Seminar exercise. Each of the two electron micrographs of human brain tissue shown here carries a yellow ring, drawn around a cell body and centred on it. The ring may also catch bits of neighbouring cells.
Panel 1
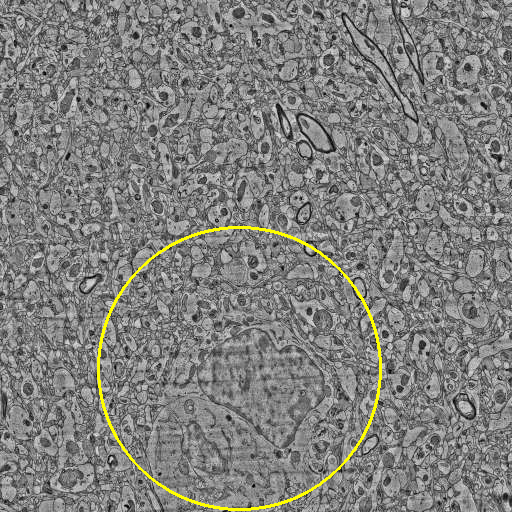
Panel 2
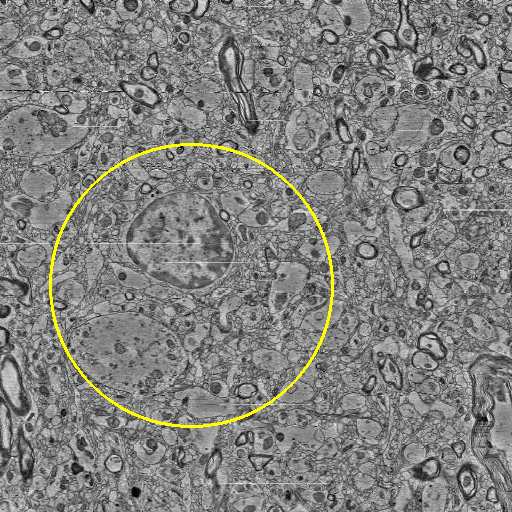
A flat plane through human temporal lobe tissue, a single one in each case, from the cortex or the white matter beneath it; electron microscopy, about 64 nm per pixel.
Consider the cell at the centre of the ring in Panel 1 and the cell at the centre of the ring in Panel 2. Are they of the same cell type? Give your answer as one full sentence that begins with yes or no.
Yes, both cells are of the same type.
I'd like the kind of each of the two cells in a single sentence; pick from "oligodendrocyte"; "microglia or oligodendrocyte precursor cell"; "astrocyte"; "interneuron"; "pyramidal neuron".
In each picture the ringed cell is a microglial cell or oligodendrocyte precursor cell.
